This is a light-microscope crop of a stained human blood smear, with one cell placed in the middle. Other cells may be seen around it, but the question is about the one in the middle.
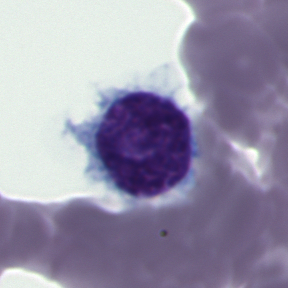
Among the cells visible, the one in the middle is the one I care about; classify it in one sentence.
The cell around which this crop is centred is a hairy cell.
